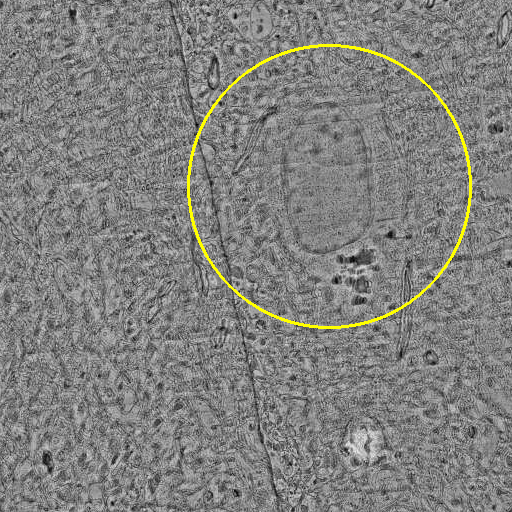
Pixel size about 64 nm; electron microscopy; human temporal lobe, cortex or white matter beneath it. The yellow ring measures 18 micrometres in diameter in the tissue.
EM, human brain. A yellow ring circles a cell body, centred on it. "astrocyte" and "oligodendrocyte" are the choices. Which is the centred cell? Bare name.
astrocyte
